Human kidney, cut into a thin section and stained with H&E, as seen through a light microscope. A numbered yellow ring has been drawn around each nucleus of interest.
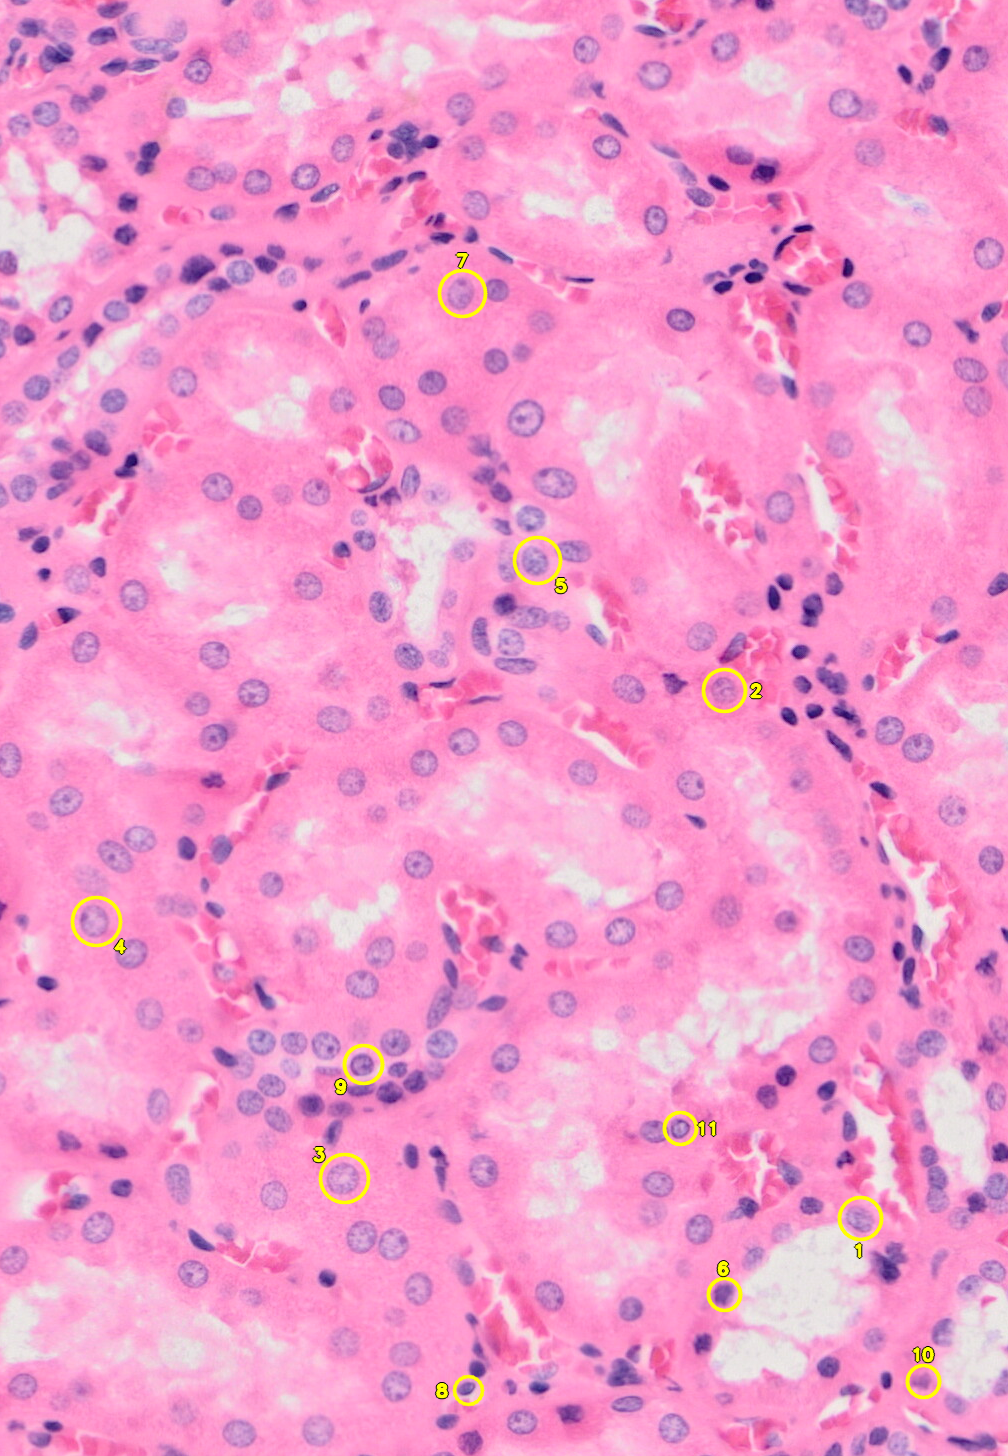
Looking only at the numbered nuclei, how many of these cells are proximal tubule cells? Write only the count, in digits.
5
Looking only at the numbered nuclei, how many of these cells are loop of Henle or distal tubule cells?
3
